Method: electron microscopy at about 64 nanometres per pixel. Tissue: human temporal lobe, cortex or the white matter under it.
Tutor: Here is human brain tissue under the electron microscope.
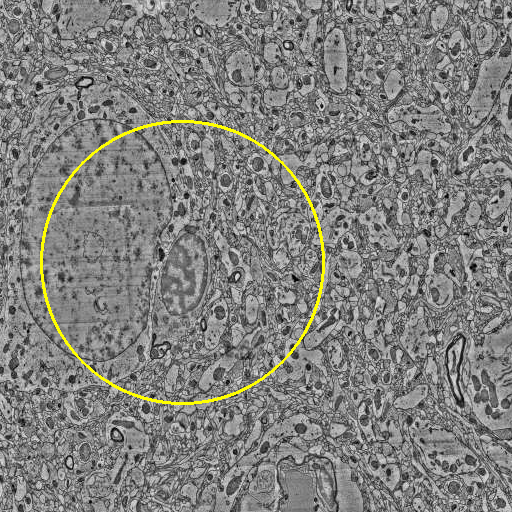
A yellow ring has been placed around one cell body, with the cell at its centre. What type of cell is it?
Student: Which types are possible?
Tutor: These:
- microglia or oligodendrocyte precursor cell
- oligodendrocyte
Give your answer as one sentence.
What the ring picks out here is an oligodendrocyte.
